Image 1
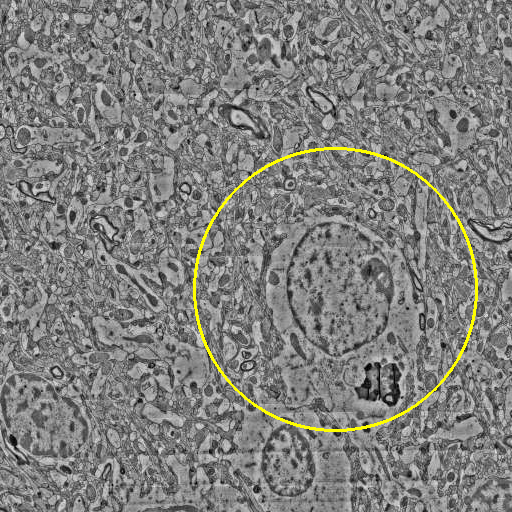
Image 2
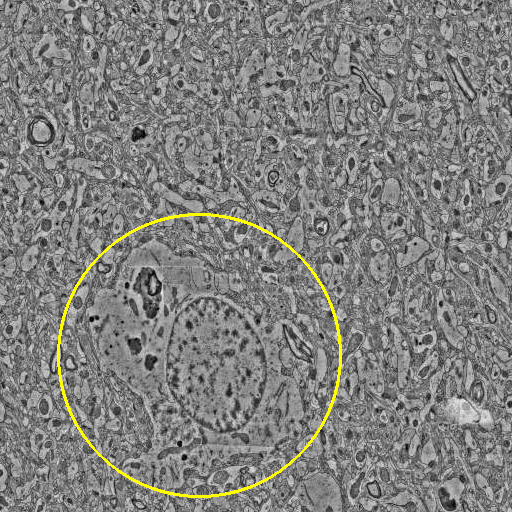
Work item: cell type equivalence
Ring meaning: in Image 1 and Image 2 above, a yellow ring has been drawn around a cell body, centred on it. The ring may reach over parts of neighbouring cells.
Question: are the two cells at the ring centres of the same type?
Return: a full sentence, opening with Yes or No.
Yes, the two centred cells are of the same type.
